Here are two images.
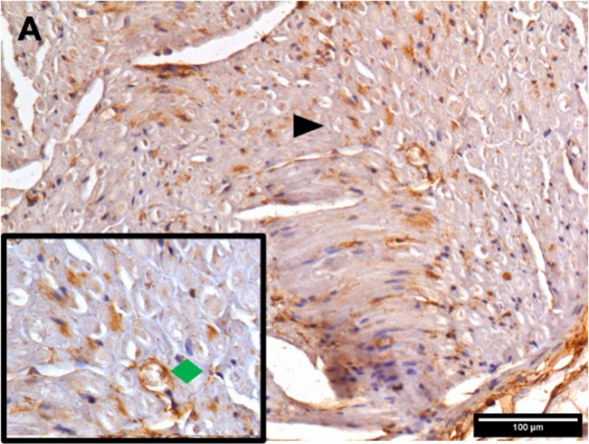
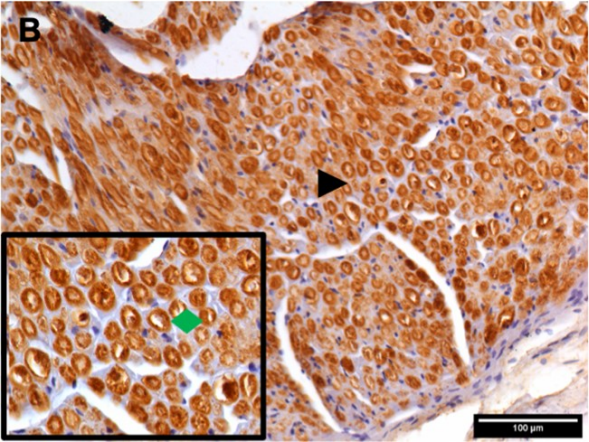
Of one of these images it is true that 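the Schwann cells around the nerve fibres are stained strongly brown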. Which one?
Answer: The second image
